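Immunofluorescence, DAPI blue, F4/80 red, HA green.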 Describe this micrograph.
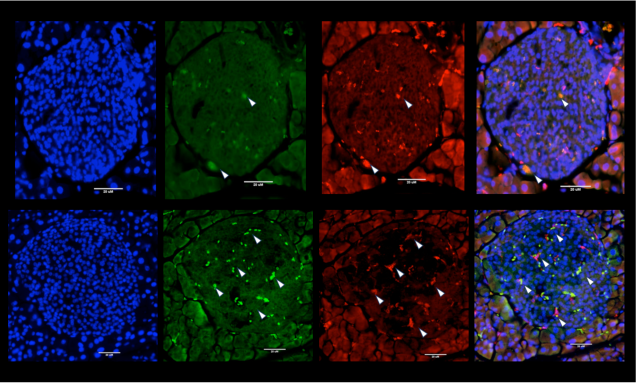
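These are sections of pancreatic islets, each seen as a rounded, sharply bounded cluster of densely packed blue nuclei set in surrounding exocrine tissue. Scattered single cells inside and at the edge of the islet, marked by white arrowheads, carry red signal and are taken to be macrophages, in the lower row many of them also showing green dots.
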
